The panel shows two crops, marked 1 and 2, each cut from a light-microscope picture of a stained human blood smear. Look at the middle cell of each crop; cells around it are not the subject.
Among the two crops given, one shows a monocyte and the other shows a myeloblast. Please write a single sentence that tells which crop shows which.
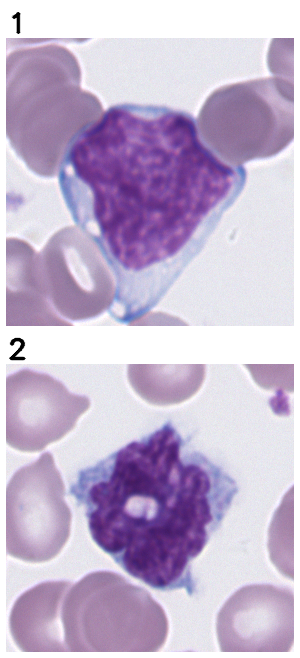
Recognised in crop 1 is a myeloblast, and recognised in crop 2 is a monocyte.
